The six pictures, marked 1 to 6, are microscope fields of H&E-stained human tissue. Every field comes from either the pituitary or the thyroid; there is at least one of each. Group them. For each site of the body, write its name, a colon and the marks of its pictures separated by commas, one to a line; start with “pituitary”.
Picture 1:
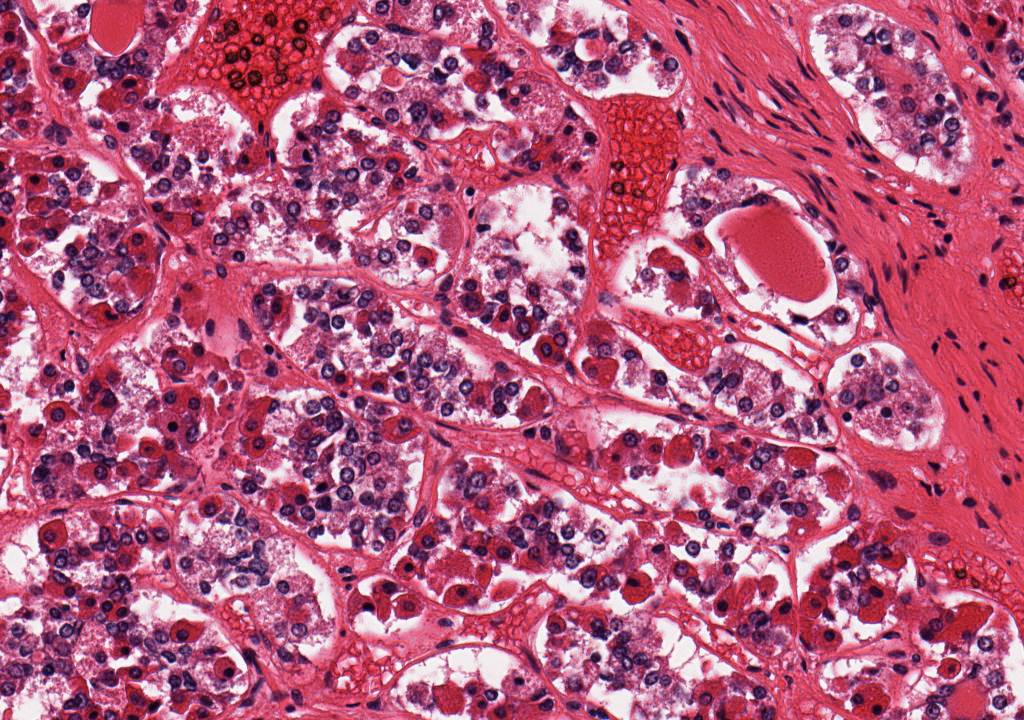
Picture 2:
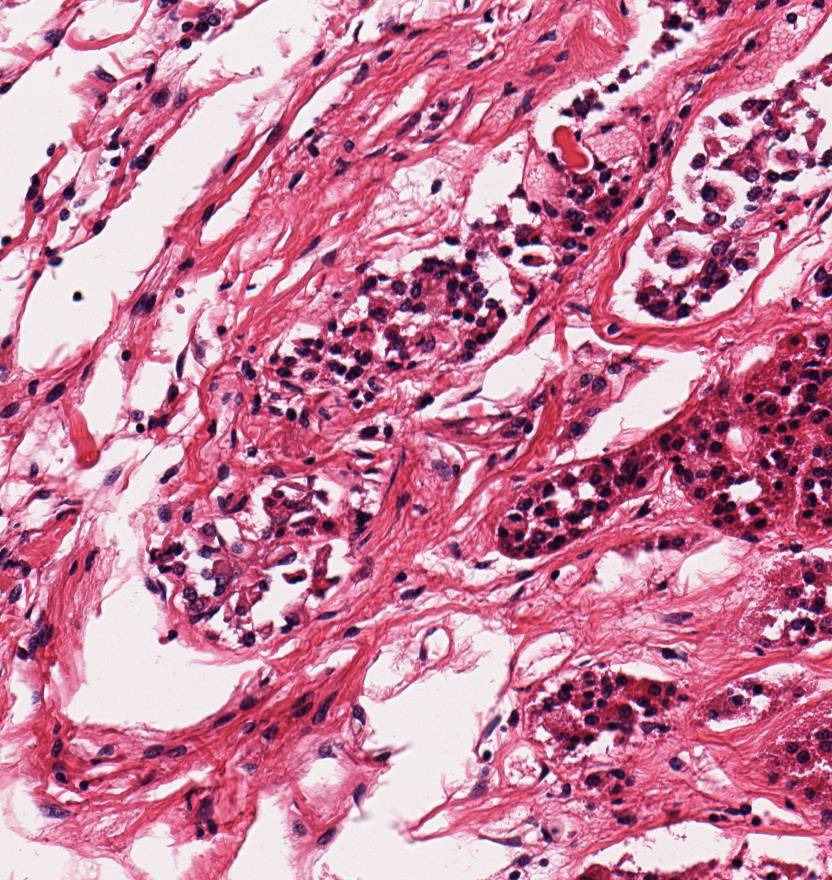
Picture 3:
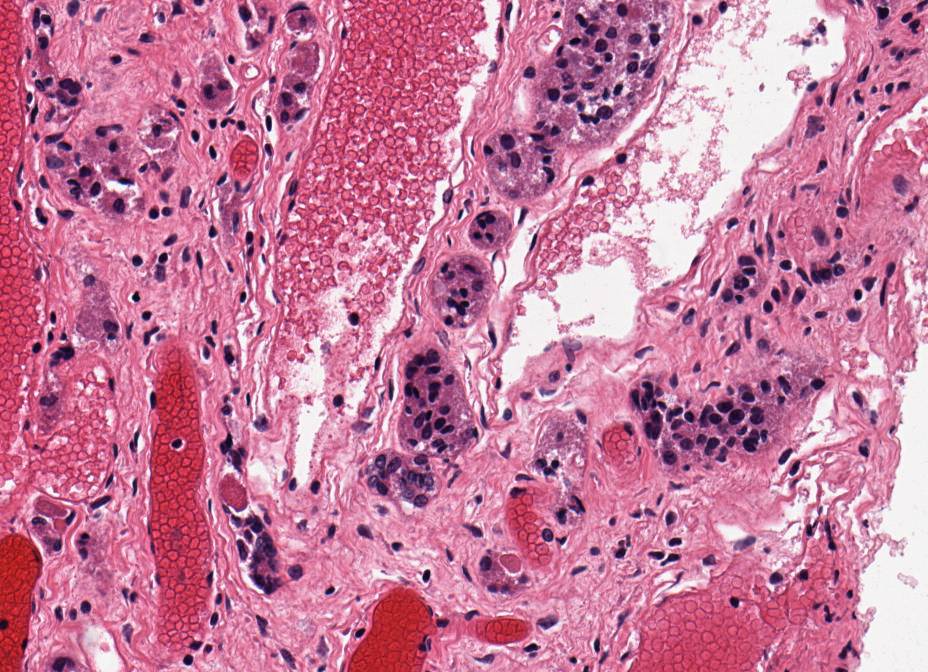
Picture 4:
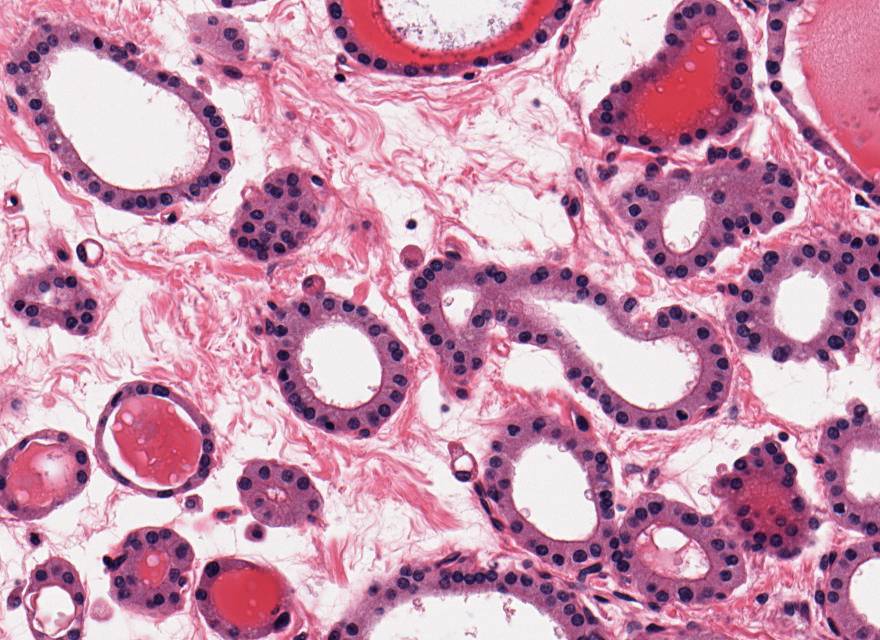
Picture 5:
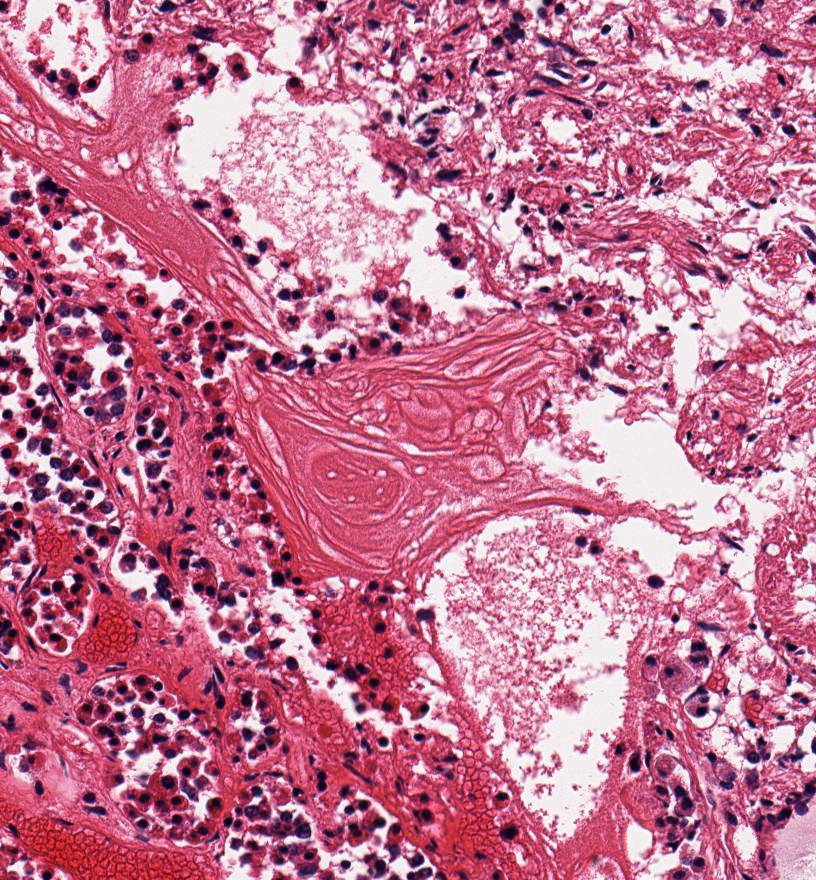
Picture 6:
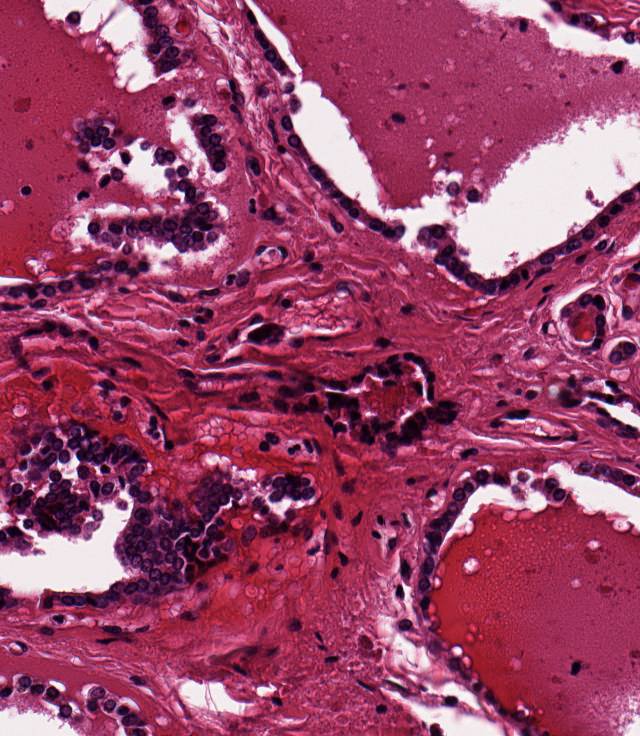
pituitary: 1, 2, 3, 5
thyroid: 4, 6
